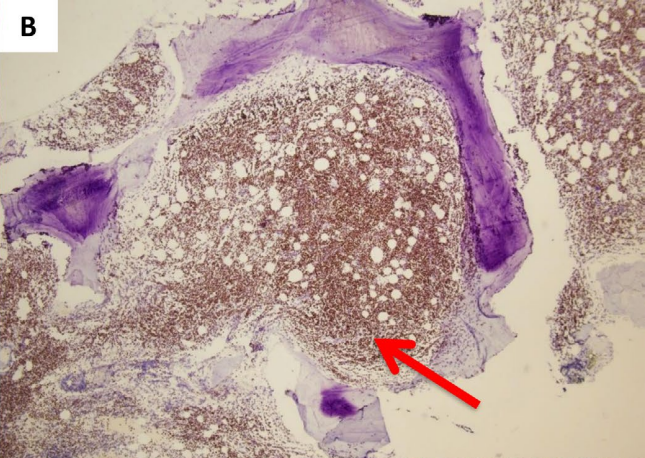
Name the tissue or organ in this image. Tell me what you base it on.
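Pale purple bony trabeculae frame the tissue. Cellular spaces between the trabeculae contain round empty fat spaces. The answer: marrow.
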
